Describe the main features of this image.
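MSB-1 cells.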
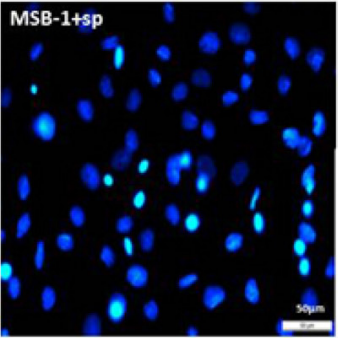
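These are cultured cells in which only the nuclei are shown, stained blue and scattered over a dark background. Many of the nuclei are small, rounded and glow a bright, even blue, as if their chromatin had drawn together into a compact mass. Between them lie larger, paler oval nuclei with a softer, finer texture. The many bright, shrunken nuclei are what one looks for in cells undergoing apoptosis.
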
